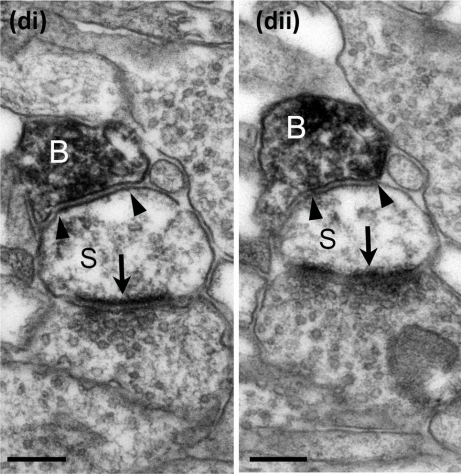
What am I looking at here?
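Two neighbouring serial sections show the same small dendritic spine sandwiched between two axon terminals. Above, a bouton filled with black deposit contacts the spine head along a junction with thin densities. Below, an unlabelled bouton full of clear round vesicles forms a contact with a thick dark postsynaptic density on the spine. The spine itself is a pale rounded profile without mitochondria.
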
